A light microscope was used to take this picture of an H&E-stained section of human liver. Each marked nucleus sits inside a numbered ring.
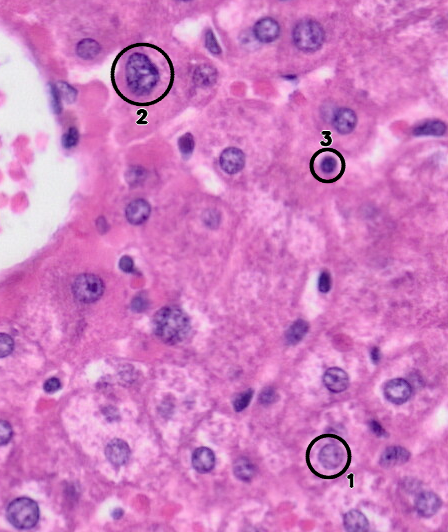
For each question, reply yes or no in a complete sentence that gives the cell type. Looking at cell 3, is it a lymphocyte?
Yes, the cell with its nucleus marked 3 is a lymphocyte.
